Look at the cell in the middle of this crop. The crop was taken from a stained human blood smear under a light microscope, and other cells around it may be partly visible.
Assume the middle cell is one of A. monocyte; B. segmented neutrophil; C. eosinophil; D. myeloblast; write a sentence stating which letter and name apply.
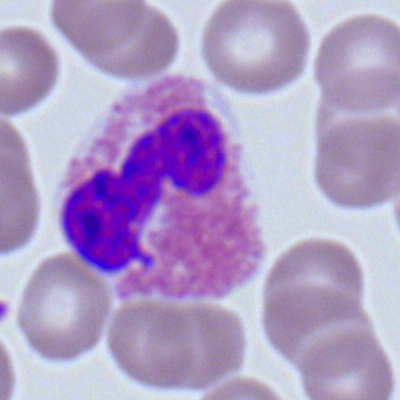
The cell at the centre is an eosinophil, and option C accordingly is correct.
